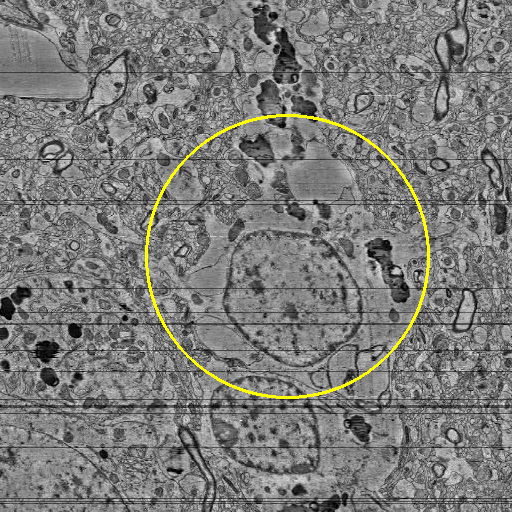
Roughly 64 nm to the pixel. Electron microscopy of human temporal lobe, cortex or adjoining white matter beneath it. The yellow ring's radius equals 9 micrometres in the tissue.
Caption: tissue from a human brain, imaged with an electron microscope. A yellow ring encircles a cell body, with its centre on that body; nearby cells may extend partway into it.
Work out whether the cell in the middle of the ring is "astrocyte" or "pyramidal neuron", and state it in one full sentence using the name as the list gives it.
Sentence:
In the picture, the cell that the yellow ring surrounds at its centre is an astrocyte.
